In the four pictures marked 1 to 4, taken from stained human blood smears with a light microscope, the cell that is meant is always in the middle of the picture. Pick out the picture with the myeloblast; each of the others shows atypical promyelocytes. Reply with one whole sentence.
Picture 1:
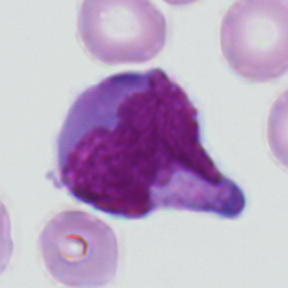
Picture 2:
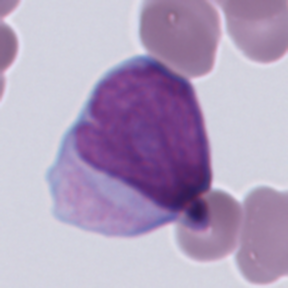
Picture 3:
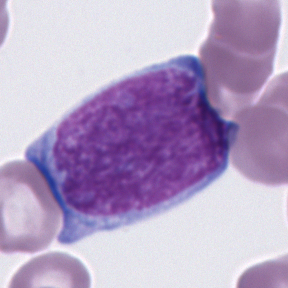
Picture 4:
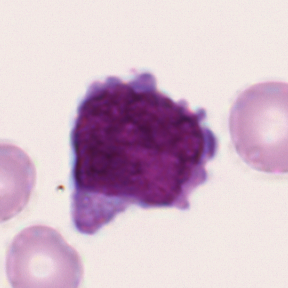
Picture 3 shows the myeloblast.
